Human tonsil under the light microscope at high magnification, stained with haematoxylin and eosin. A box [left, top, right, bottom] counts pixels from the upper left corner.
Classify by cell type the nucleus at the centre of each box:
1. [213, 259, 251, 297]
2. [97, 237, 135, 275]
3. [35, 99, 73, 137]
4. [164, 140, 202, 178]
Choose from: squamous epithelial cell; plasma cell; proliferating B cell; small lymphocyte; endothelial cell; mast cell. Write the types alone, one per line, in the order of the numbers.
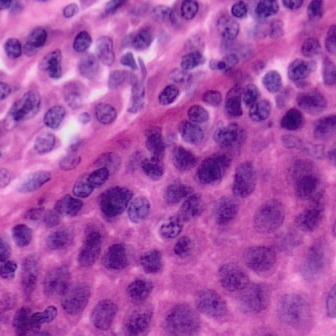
squamous epithelial cell
squamous epithelial cell
plasma cell
squamous epithelial cell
